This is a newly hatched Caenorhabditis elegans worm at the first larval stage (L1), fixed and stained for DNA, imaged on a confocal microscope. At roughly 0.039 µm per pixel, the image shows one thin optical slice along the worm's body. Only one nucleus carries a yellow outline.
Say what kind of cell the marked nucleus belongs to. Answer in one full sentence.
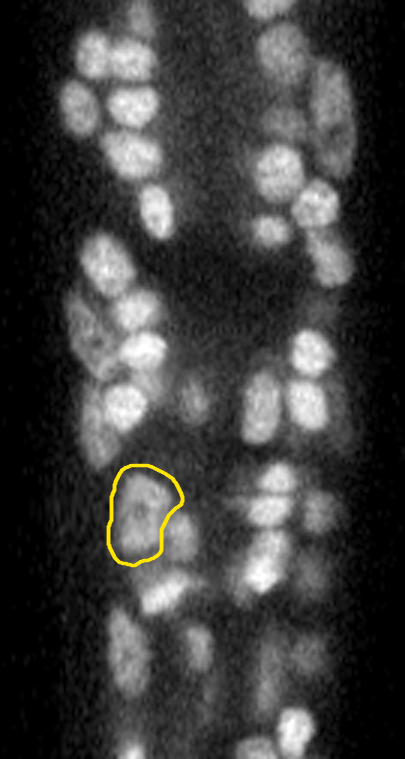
This nucleus is from a pharyngeal muscle cell.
